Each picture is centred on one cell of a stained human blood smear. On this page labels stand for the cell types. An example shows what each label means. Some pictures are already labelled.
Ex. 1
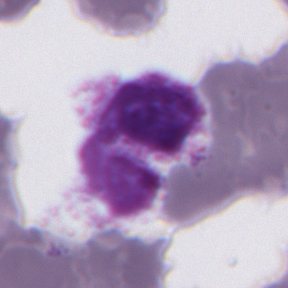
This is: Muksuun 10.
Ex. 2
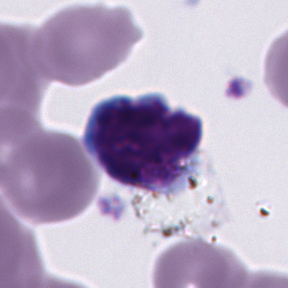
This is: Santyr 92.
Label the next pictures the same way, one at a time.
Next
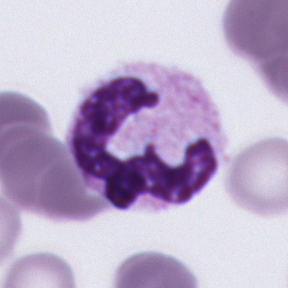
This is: Muksuun 10.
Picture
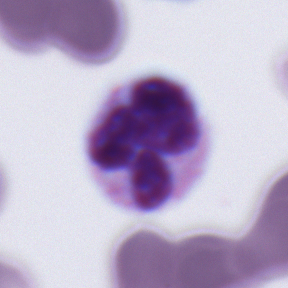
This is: Muksuun 10.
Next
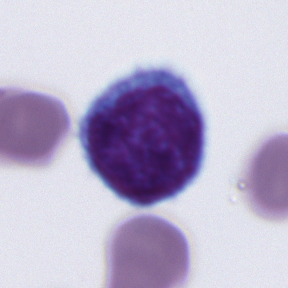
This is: Santyr 92.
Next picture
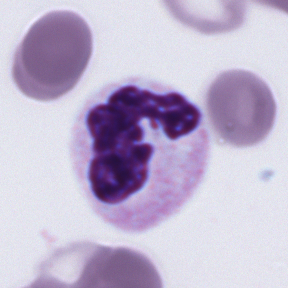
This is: Muksuun 10.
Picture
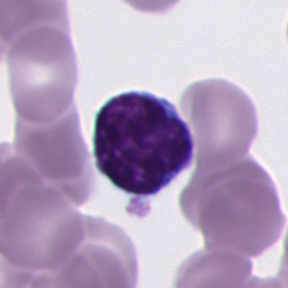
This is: Santyr 92.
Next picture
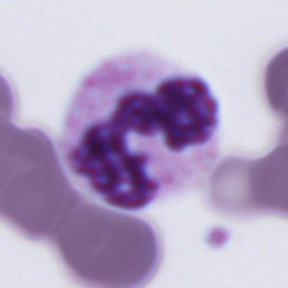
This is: Muksuun 10.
